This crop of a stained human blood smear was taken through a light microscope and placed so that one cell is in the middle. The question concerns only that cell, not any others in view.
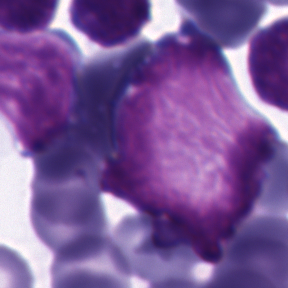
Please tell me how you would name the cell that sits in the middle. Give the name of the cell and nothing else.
myeloblast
